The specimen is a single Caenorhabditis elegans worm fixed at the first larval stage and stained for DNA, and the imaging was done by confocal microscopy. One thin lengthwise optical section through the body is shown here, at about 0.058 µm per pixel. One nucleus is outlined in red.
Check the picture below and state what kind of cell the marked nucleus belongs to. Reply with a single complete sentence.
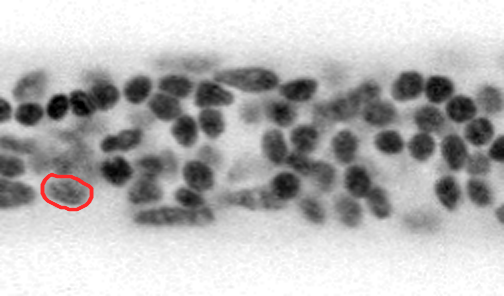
It belongs to a body wall muscle cell.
